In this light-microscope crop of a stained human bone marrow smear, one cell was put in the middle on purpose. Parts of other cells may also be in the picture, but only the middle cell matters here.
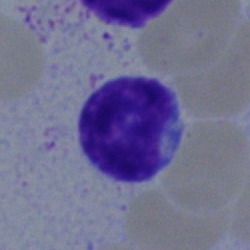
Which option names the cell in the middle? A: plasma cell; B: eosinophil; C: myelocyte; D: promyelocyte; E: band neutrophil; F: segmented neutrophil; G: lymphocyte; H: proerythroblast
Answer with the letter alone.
G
